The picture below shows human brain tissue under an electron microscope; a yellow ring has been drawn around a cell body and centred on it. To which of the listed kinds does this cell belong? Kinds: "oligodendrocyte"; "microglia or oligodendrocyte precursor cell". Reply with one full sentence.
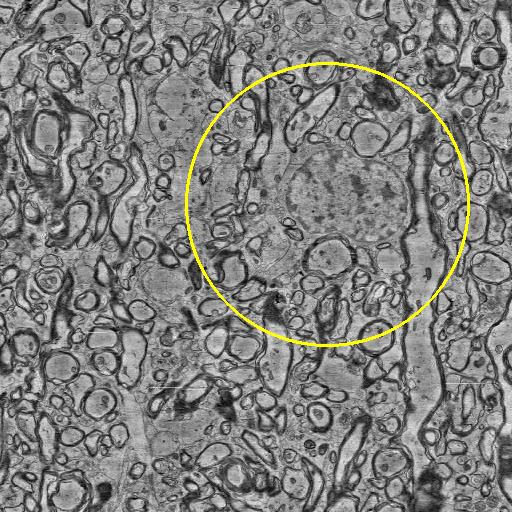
It is an oligodendrocyte that the yellow ring in the picture is centred on.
